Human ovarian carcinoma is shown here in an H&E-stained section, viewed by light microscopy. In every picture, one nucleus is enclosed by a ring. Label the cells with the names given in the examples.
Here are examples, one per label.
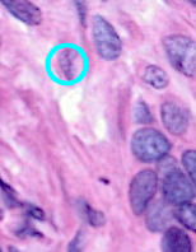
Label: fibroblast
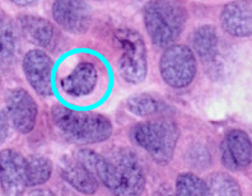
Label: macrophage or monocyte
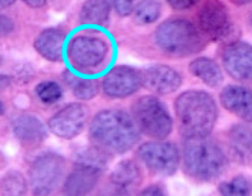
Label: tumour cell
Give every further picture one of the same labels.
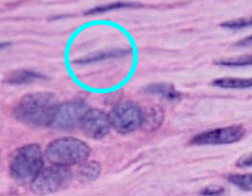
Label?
fibroblast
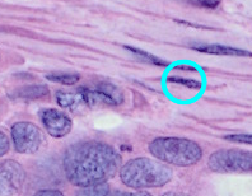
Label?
fibroblast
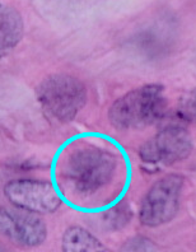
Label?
tumour cell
